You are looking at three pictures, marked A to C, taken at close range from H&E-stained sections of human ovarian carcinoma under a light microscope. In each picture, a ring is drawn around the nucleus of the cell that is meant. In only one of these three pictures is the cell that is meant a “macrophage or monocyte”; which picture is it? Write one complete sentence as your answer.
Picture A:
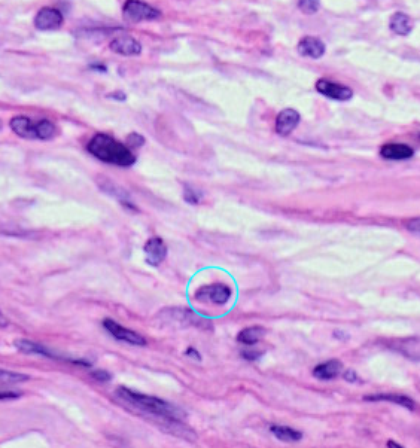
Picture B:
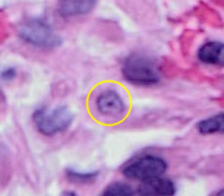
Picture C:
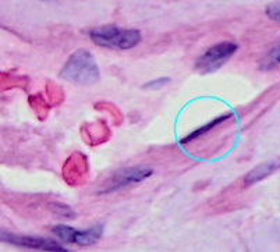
Picture B shows the “macrophage or monocyte”.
